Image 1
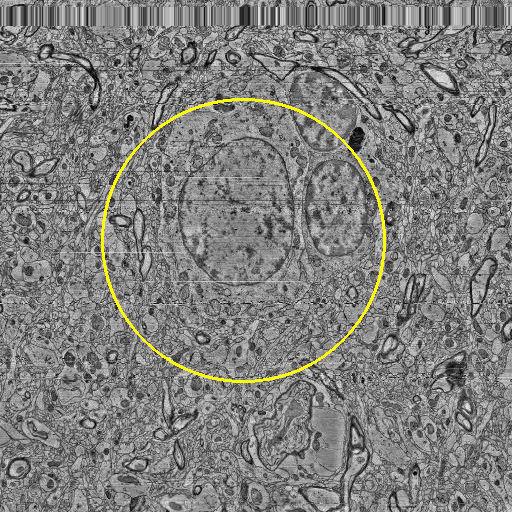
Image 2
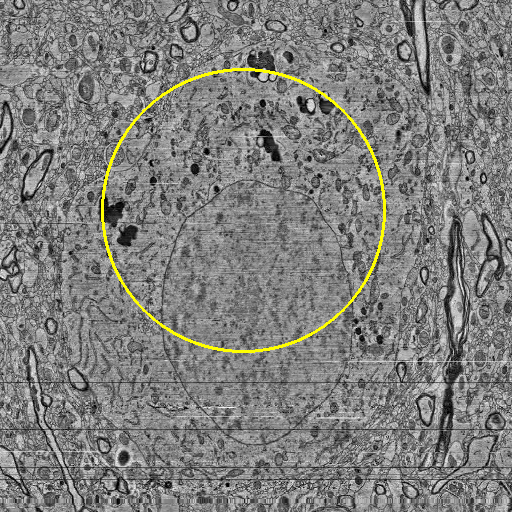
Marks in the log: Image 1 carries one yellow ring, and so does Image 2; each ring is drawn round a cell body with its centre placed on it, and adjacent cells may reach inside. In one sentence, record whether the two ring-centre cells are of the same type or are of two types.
The two cells at the ring centres, one in each image, are of the same type.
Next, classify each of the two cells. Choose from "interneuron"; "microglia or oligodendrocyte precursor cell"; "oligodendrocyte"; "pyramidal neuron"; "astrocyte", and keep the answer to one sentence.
Each of the two cells is a pyramidal neuron.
